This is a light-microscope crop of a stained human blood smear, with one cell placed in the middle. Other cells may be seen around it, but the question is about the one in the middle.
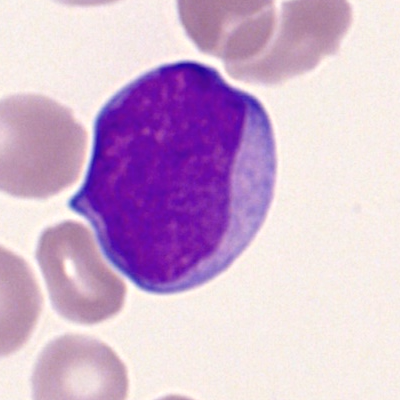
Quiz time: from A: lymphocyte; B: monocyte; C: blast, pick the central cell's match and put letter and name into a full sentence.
The correct response is option C, naming the cell in the middle as a blast.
